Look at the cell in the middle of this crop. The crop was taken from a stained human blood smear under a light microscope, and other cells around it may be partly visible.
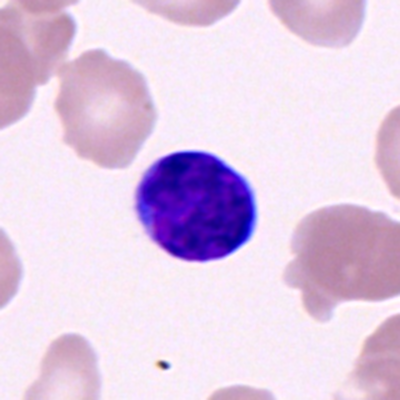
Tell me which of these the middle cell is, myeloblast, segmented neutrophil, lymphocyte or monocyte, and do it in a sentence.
This crop's central cell is a lymphocyte.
